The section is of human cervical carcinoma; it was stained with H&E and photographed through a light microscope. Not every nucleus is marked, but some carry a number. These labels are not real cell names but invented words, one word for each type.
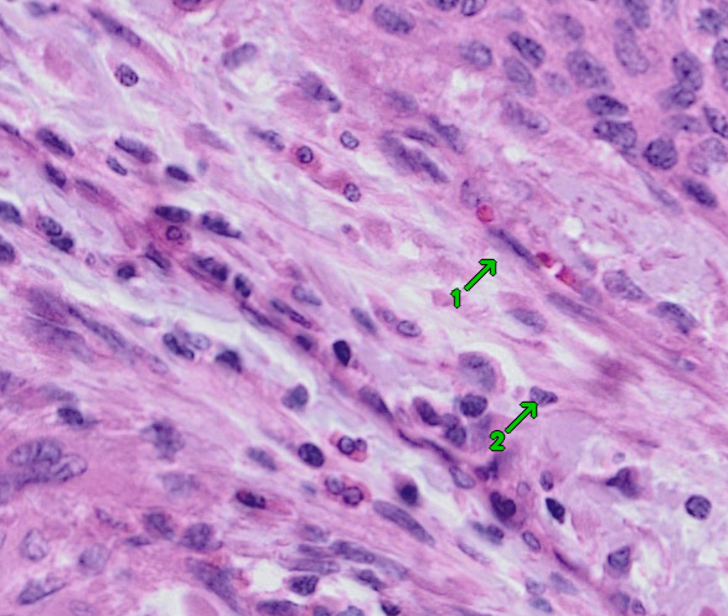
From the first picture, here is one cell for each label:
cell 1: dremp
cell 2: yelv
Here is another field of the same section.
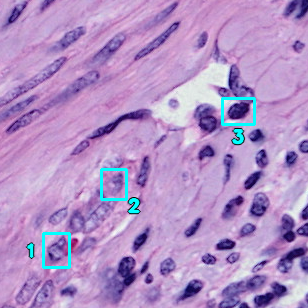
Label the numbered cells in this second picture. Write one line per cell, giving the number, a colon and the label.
1: dremp
2: dremp
3: yelv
